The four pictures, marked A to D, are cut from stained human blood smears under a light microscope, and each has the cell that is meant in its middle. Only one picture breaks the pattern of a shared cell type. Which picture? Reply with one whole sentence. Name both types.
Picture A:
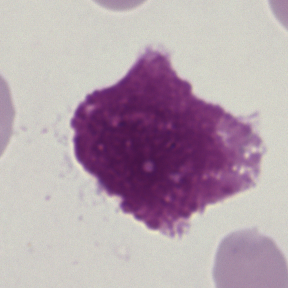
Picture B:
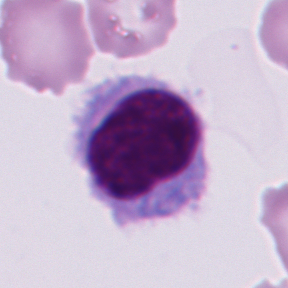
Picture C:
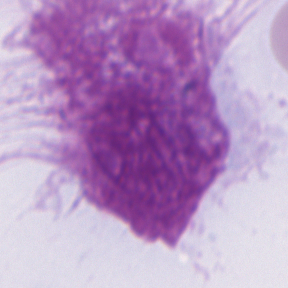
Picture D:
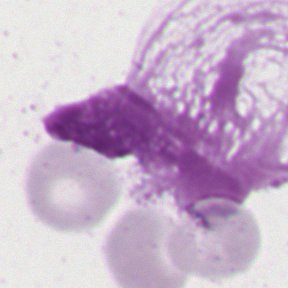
All pictures except B show smudge cells; picture B shows a hairy cell.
